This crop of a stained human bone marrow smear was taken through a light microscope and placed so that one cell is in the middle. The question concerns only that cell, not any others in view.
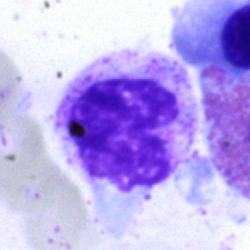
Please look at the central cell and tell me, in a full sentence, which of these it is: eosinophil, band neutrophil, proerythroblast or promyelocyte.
The centrally positioned cell in the crop represents a band neutrophil.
